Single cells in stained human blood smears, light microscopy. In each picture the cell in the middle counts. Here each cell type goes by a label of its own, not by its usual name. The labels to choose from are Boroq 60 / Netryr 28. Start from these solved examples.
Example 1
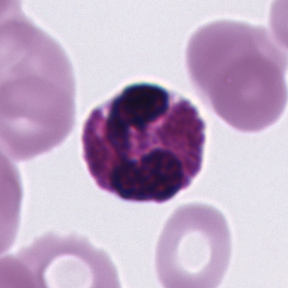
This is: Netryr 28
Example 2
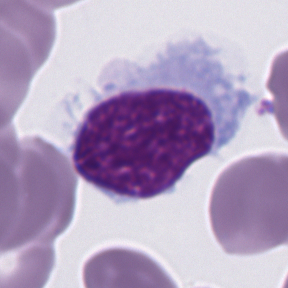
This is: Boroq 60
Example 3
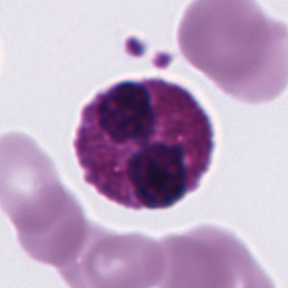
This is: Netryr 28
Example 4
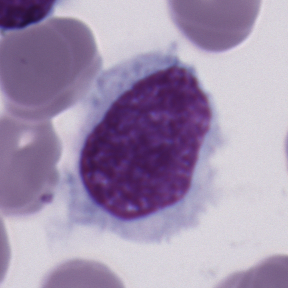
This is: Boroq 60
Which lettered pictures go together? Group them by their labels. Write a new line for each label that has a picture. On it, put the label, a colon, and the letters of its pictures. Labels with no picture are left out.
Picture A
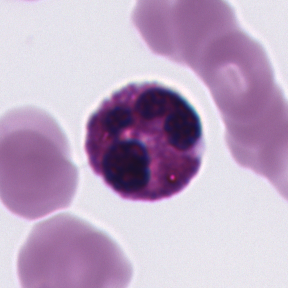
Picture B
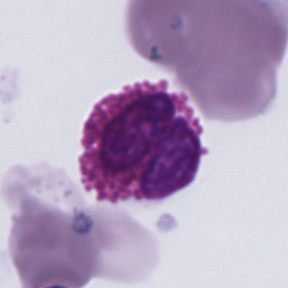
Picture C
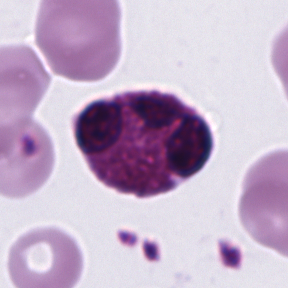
Netryr 28: A, B, C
